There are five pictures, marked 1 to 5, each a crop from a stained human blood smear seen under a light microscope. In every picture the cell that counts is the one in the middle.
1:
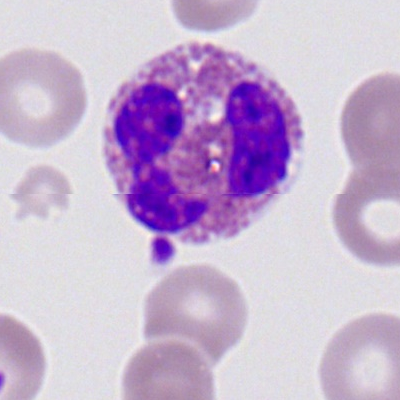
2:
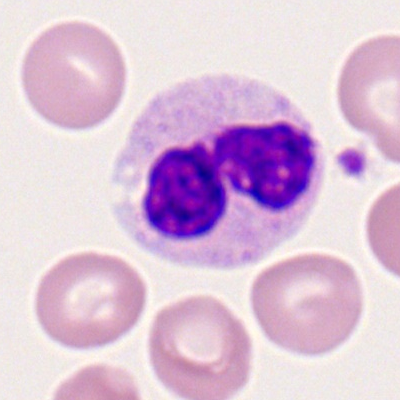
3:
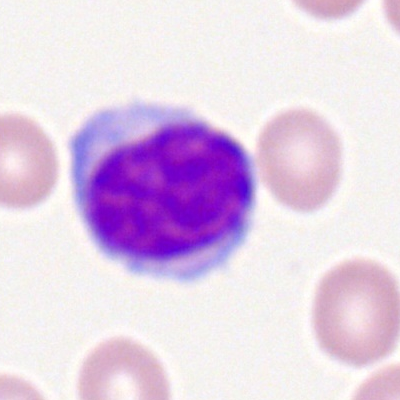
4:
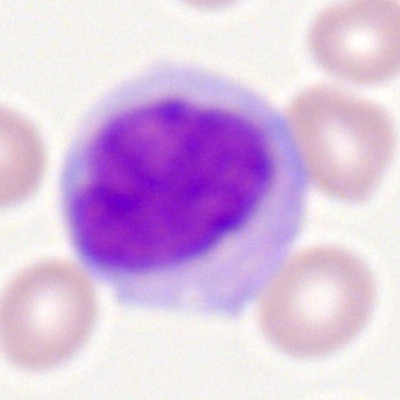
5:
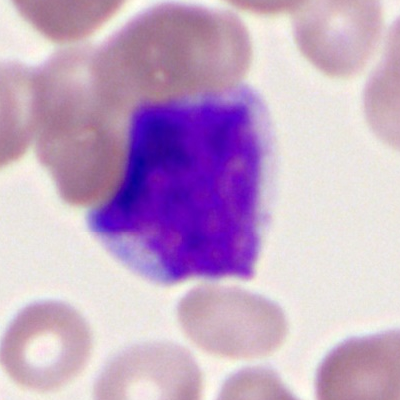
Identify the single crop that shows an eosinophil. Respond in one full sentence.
It is crop 1, not any other, that shows an eosinophil.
